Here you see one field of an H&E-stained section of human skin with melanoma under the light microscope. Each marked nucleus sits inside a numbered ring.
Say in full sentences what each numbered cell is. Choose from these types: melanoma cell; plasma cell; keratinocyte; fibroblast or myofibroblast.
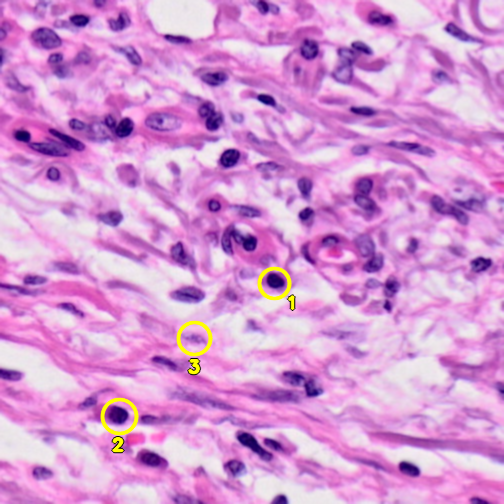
Cell 1 is a plasma cell, cell 2 is a plasma cell and cell 3 is a fibroblast or myofibroblast.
